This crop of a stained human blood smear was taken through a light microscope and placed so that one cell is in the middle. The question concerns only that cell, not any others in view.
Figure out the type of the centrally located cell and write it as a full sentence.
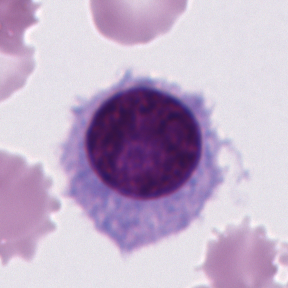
In the middle of this smear crop, the cell is a hairy cell.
